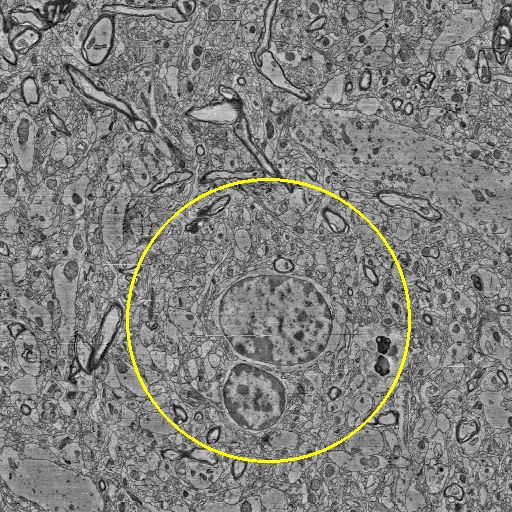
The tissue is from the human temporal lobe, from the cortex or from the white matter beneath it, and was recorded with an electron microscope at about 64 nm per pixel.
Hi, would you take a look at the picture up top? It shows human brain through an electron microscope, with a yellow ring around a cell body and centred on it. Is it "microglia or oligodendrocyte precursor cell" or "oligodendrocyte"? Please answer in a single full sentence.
The best fit for the cell in the middle of the ring is a microglial cell or oligodendrocyte precursor cell, I reckon.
